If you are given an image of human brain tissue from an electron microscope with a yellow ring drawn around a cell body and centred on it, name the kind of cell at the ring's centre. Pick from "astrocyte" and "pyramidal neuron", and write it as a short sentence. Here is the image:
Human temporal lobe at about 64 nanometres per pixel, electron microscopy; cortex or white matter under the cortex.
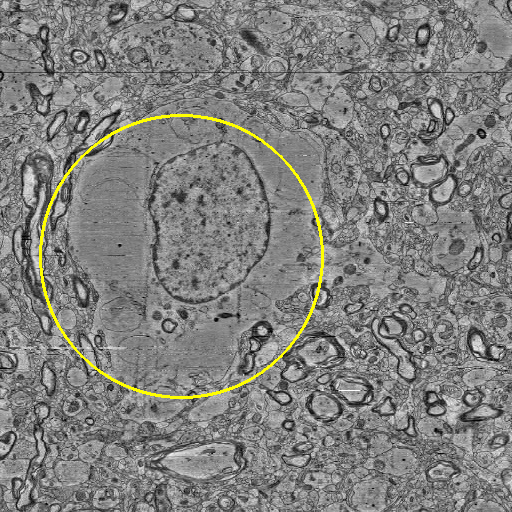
The cell at the ring's centre is an astrocyte.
